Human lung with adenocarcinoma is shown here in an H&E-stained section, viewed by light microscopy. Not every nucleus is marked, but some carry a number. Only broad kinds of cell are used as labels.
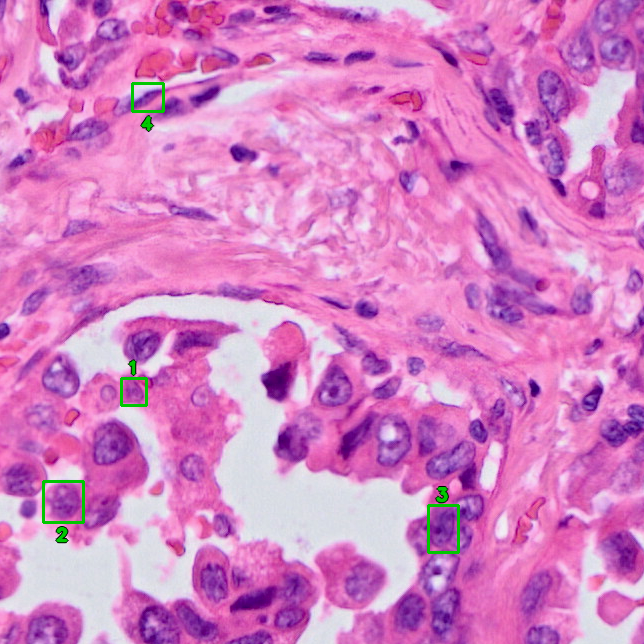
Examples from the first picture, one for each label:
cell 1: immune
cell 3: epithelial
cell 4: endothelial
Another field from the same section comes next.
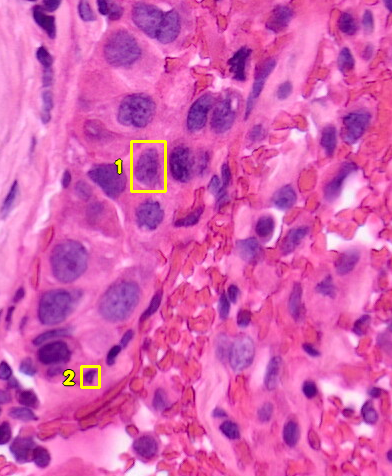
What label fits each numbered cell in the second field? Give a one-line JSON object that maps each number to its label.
{"1": "epithelial", "2": "endothelial"}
